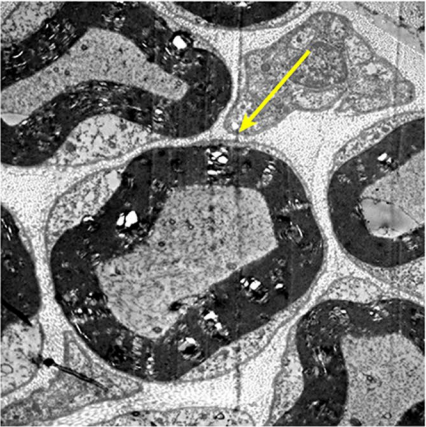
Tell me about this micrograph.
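Cross-sectioned myelinated axons of a peripheral nerve with pale axoplasm inside dark myelin sheaths. Several sheaths are broken by bright, irregular clefts and vacuole-like gaps within the dark layers, and the compact lamellae look loosened in places. The fibers lie in a light, fibrillar matrix with a cluster of small pale profiles beside them.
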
